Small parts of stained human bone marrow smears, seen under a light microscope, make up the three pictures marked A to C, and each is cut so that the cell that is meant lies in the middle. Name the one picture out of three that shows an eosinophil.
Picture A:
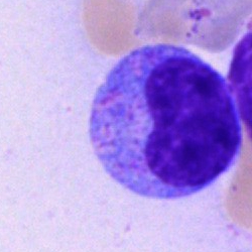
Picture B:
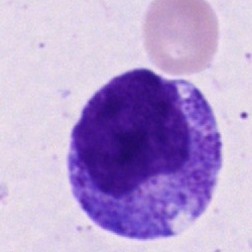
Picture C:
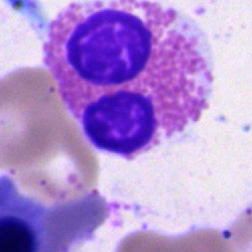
C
